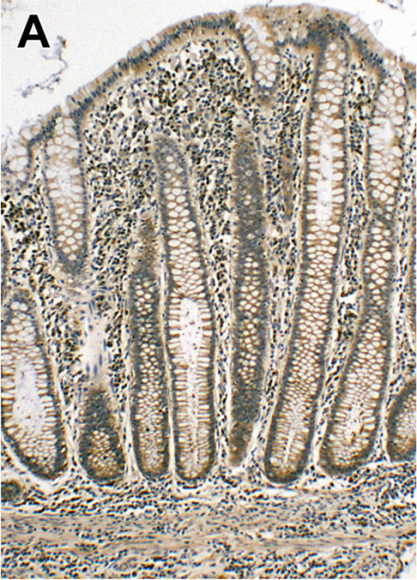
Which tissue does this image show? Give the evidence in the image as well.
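Colonic mucosa. Long straight parallel crypts run from the surface down to the base. Crypts are lined by columnar epithelium with many goblet cells holding clear mucin. Lamina propria between crypts is packed with small dark nuclei.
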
